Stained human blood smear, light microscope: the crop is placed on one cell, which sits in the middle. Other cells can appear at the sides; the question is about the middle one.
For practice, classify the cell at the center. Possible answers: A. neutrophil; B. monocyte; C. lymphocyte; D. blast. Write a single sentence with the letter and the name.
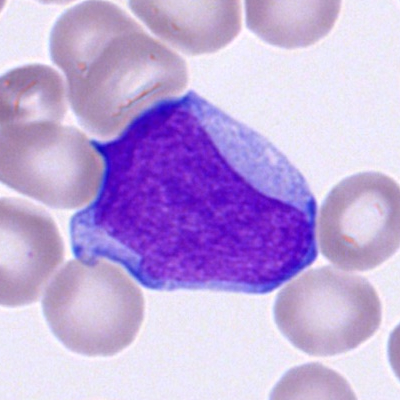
The correct identification, given in option D, is that the central cell is a blast.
